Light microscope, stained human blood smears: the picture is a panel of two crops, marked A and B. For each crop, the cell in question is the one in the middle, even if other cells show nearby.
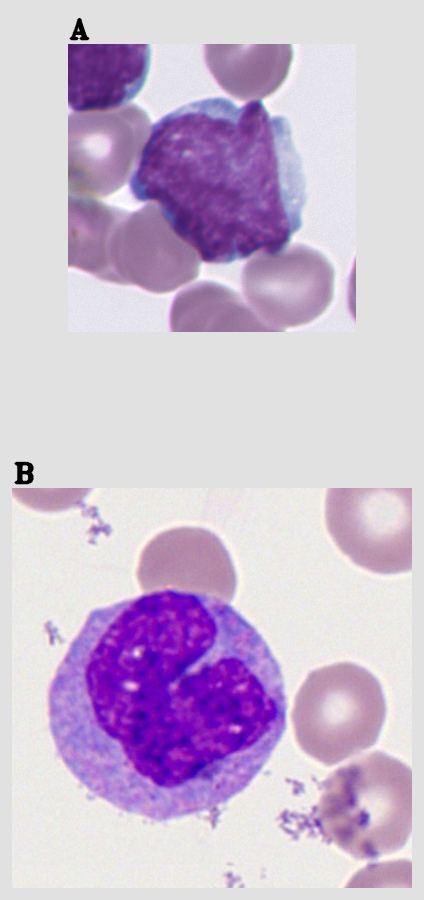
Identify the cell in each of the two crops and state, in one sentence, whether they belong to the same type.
No, a monocyte is the cell of crop B, while a blast is the cell of crop A.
